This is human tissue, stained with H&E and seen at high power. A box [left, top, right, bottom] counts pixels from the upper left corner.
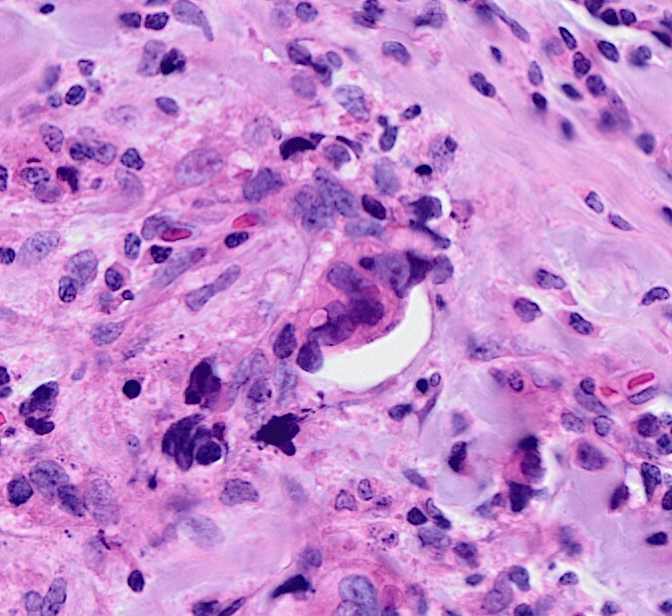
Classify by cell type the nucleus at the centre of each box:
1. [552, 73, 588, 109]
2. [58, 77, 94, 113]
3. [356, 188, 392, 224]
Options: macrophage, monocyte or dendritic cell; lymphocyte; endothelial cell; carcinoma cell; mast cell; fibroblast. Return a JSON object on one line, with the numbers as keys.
{"1": "lymphocyte", "2": "lymphocyte", "3": "carcinoma cell"}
